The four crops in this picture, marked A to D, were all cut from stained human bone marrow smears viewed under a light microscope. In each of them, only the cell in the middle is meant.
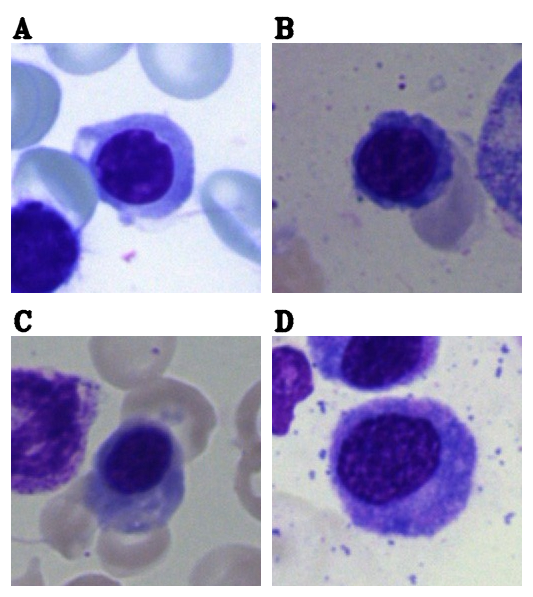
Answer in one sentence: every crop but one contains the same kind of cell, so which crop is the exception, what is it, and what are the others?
The exception is crop D, with a plasma cell; the remaining crops all show normoblasts.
